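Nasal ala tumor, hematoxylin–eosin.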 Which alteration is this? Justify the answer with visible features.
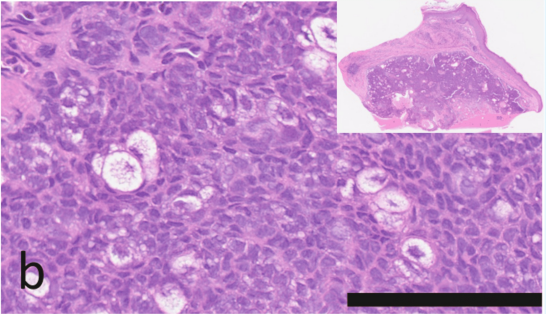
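Vacuolated cytoplasm. Many cells contain clear, round, bubbly vacuoles in their cytoplasm. Some vacuoles indent or surround the nuclei.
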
